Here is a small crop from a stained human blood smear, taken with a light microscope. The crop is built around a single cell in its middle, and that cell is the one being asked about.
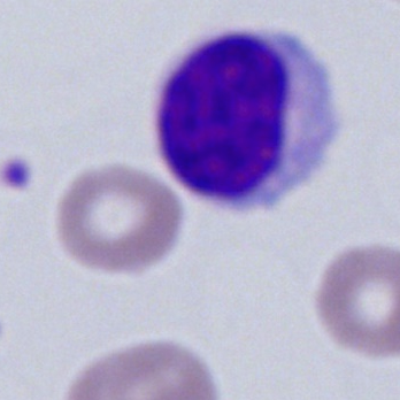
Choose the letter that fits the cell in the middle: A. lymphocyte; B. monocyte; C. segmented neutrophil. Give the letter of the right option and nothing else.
A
